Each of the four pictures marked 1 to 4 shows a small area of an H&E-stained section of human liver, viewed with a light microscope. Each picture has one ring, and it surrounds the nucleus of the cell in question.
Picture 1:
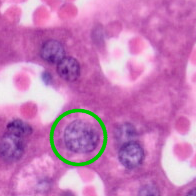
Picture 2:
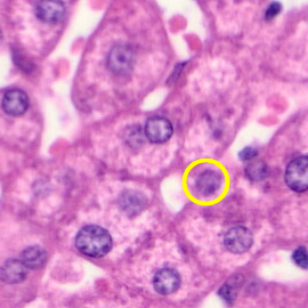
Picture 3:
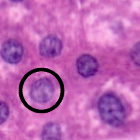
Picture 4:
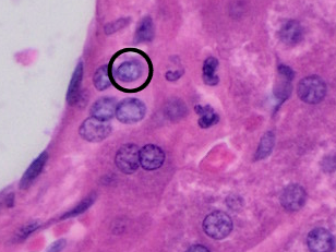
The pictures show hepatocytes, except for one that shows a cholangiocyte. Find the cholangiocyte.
4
